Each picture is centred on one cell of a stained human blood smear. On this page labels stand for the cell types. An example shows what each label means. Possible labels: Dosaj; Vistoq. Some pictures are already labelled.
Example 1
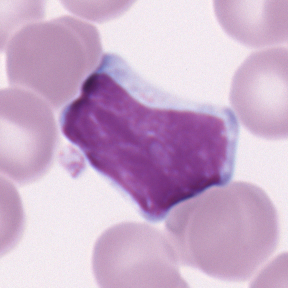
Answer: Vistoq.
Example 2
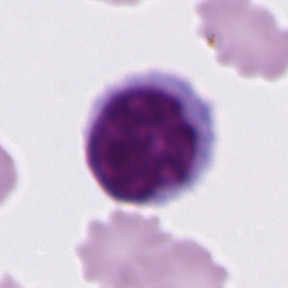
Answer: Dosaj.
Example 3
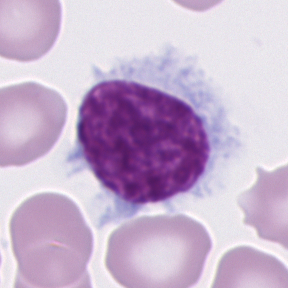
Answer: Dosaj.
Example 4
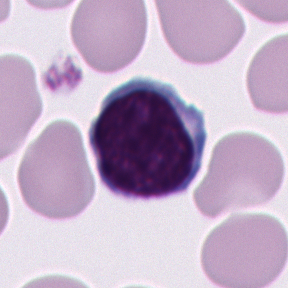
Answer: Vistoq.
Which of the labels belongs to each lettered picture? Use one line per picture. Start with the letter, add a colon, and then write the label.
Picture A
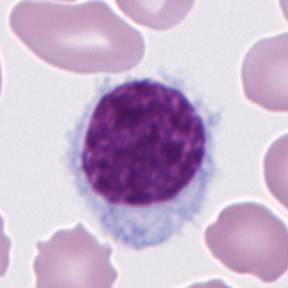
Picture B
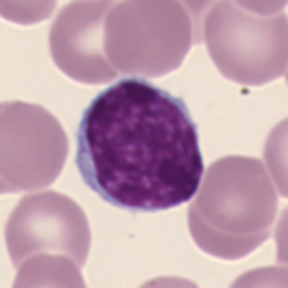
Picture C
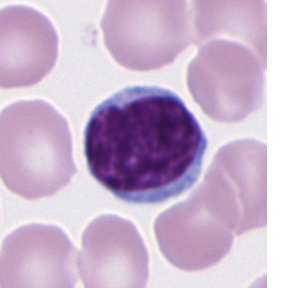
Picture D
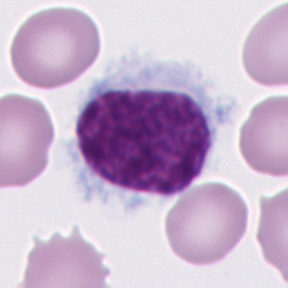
A: Dosaj.
B: Vistoq.
C: Vistoq.
D: Dosaj.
